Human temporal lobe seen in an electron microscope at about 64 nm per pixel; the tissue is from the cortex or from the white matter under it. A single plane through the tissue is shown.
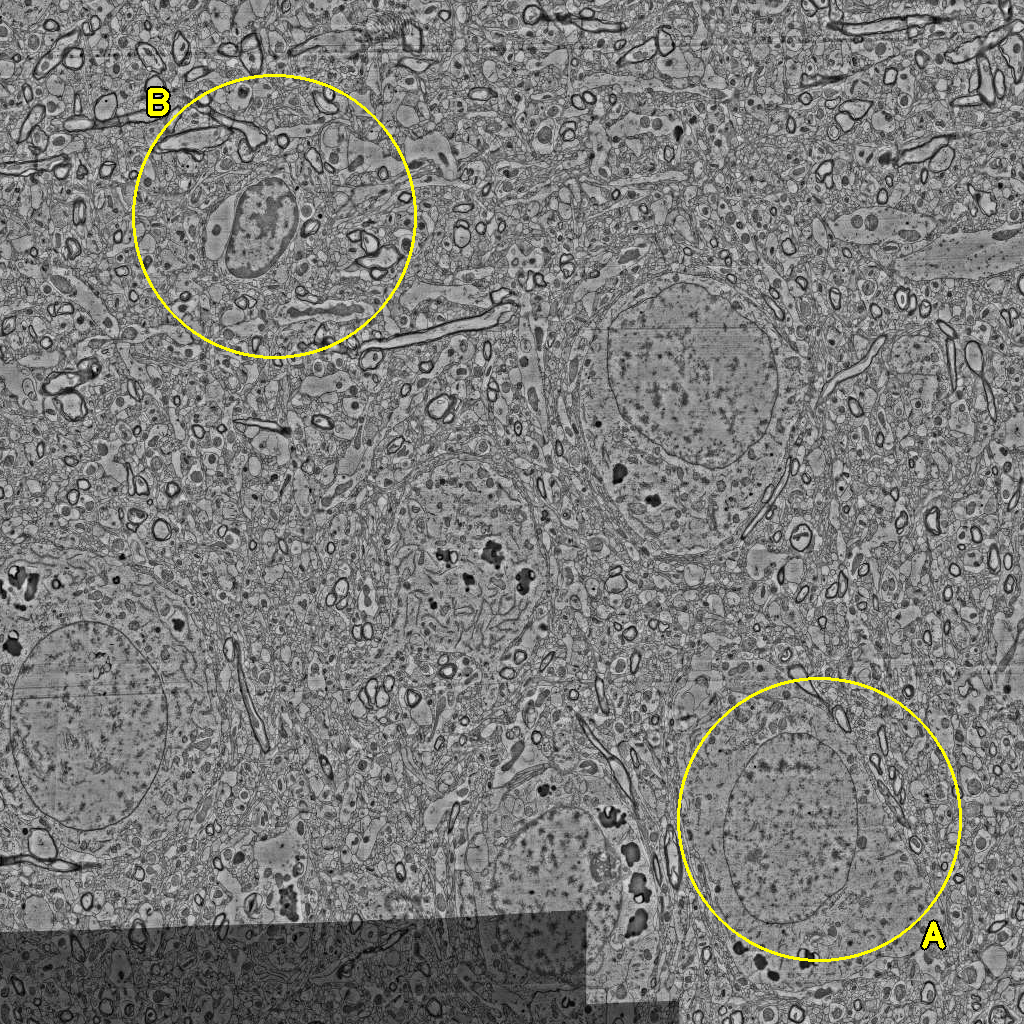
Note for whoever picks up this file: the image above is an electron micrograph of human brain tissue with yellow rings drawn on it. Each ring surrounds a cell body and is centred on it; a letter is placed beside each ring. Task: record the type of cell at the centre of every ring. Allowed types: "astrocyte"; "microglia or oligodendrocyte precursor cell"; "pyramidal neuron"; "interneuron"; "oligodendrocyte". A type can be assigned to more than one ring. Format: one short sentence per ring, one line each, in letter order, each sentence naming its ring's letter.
The ring marked A is centred on a pyramidal neuron.
The ring marked B is centred on a microglial cell or oligodendrocyte precursor cell.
